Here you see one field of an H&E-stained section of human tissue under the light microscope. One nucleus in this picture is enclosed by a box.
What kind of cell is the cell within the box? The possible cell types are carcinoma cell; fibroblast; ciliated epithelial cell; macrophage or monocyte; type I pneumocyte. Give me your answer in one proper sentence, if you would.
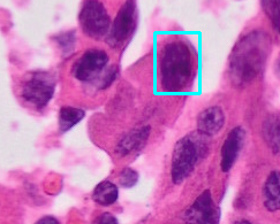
In the tissue under study, the cell within the box is a carcinoma cell.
